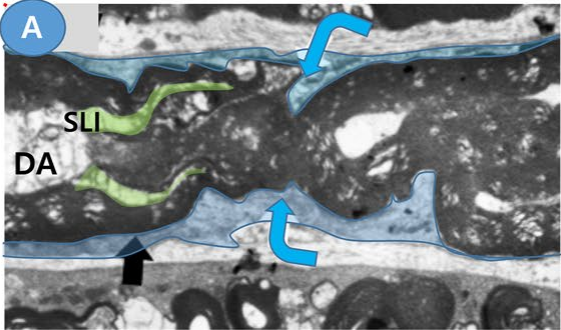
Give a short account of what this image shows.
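A longitudinally sectioned nerve fibre in which the dark myelin sheath runs horizontally across the field. Pale-shaded Schwann cell cytoplasm lines the outside of the sheath along its length.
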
